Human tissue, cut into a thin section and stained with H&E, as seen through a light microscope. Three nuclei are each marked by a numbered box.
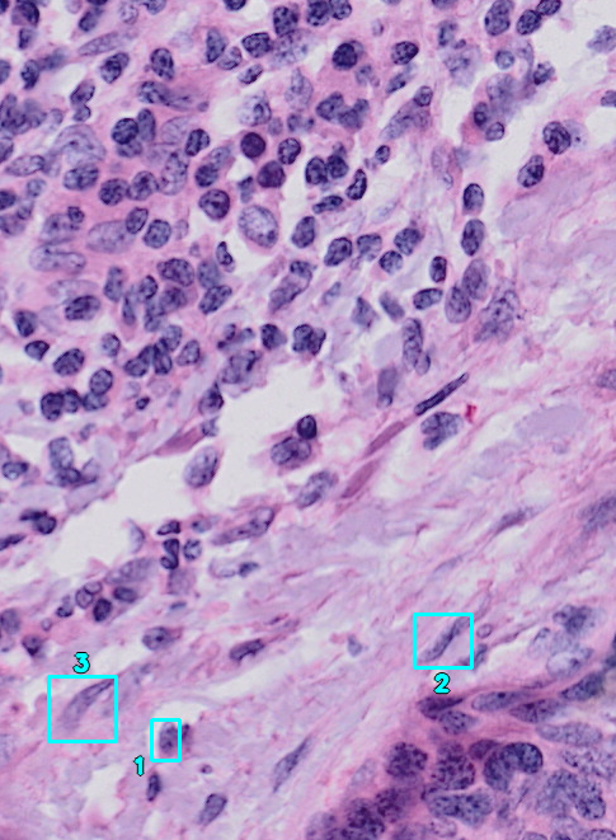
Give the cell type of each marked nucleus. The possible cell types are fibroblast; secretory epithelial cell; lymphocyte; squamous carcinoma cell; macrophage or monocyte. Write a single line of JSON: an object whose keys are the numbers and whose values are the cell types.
{"1": "macrophage or monocyte", "2": "fibroblast", "3": "fibroblast"}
